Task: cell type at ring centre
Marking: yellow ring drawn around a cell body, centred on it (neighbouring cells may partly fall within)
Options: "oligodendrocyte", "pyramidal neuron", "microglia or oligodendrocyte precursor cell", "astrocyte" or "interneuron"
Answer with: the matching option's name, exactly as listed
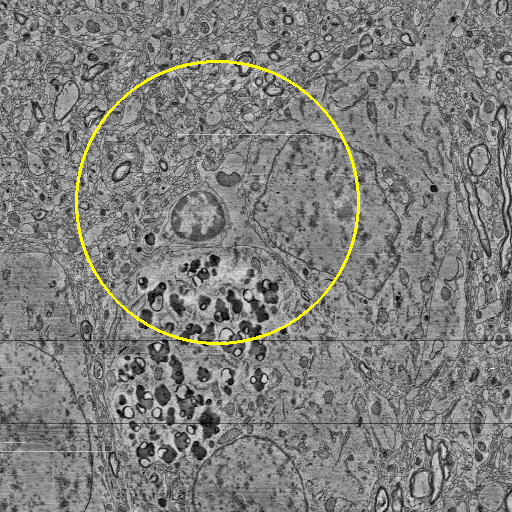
microglia or oligodendrocyte precursor cell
